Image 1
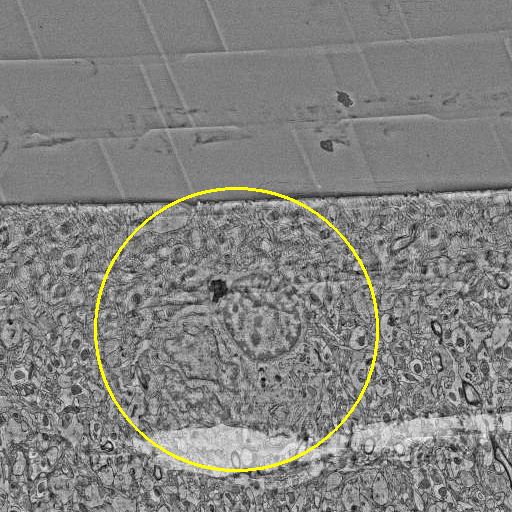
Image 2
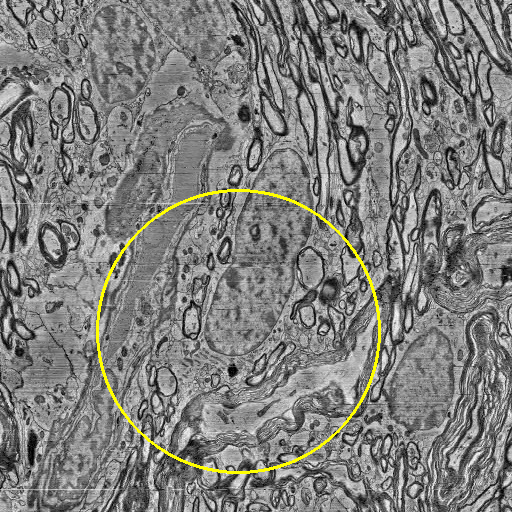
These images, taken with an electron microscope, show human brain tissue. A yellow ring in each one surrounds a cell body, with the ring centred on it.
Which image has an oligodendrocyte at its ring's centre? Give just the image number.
1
